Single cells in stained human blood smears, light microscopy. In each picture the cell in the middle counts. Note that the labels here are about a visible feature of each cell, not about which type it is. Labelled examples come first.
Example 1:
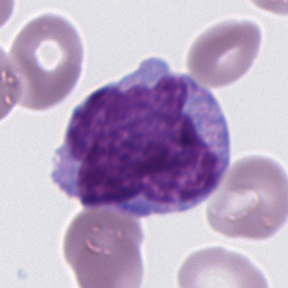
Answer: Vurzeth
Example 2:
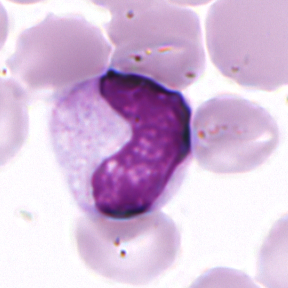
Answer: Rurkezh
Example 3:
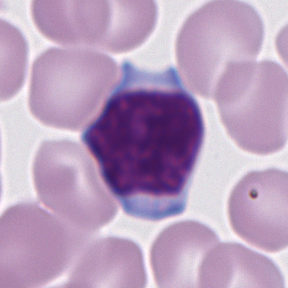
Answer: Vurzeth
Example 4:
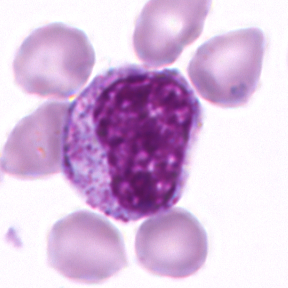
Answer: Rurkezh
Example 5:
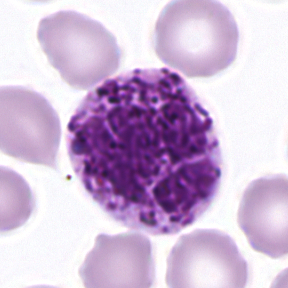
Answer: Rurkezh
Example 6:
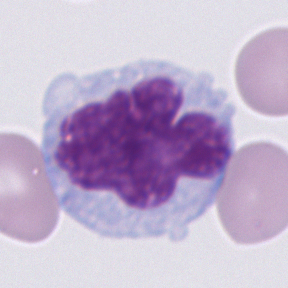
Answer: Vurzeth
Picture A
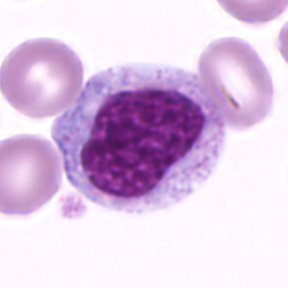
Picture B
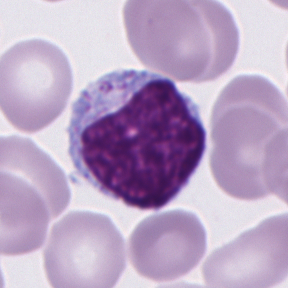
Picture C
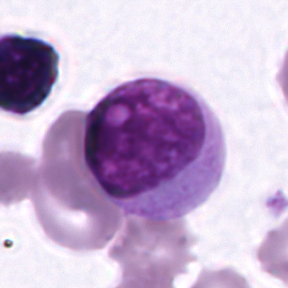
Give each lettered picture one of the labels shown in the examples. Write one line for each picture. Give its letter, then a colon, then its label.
A: Vurzeth
B: Vurzeth
C: Rurkezh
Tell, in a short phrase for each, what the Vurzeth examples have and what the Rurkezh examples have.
Seen in Vurzeth: ragged outline or projections; seen in Rurkezh: smooth outline.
